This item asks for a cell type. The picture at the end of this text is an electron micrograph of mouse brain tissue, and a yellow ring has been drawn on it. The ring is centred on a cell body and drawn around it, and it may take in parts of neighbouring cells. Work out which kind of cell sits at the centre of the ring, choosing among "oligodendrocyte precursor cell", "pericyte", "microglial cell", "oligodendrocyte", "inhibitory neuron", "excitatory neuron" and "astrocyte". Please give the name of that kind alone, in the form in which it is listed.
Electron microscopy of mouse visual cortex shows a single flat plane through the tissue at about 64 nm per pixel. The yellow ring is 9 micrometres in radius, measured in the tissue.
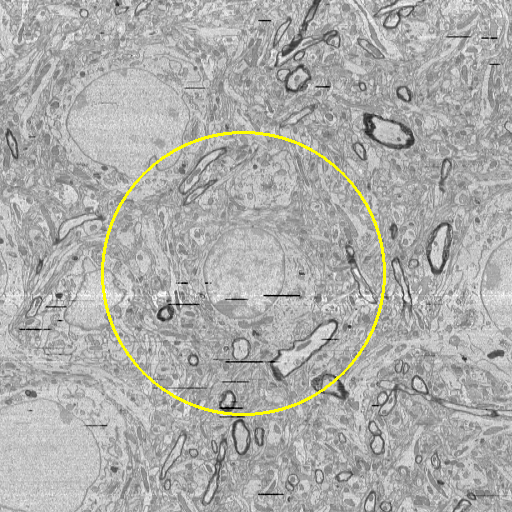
oligodendrocyte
